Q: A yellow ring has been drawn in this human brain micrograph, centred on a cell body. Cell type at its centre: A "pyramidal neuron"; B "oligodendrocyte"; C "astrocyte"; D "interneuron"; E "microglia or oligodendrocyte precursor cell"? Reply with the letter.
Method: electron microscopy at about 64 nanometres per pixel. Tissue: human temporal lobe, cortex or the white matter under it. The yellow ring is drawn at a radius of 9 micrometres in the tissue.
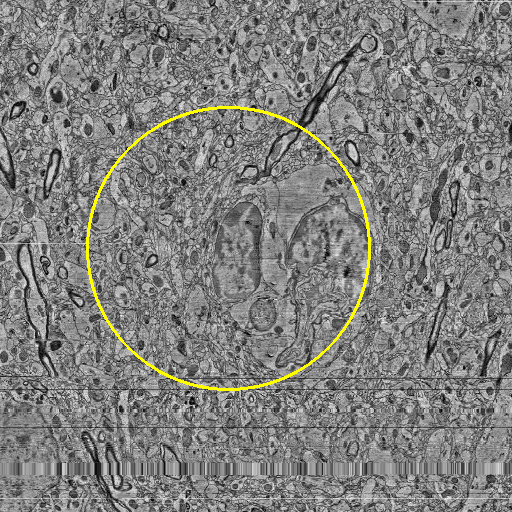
E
